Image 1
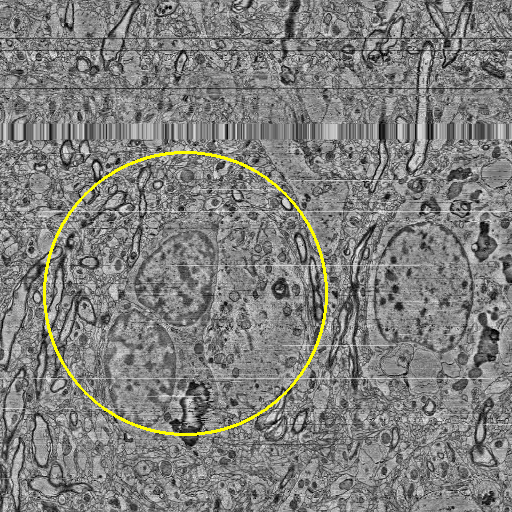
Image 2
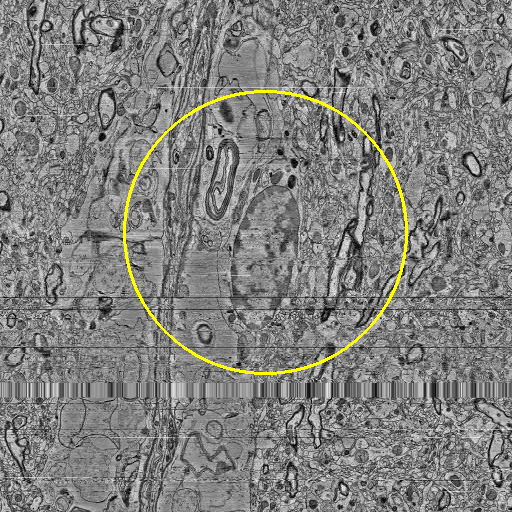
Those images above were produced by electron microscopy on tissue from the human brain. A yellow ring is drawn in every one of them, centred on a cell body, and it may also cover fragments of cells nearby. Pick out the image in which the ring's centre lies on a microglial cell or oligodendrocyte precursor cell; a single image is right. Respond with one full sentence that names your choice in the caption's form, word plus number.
Image 2 is my choice: its ring is centred on the requested cell.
